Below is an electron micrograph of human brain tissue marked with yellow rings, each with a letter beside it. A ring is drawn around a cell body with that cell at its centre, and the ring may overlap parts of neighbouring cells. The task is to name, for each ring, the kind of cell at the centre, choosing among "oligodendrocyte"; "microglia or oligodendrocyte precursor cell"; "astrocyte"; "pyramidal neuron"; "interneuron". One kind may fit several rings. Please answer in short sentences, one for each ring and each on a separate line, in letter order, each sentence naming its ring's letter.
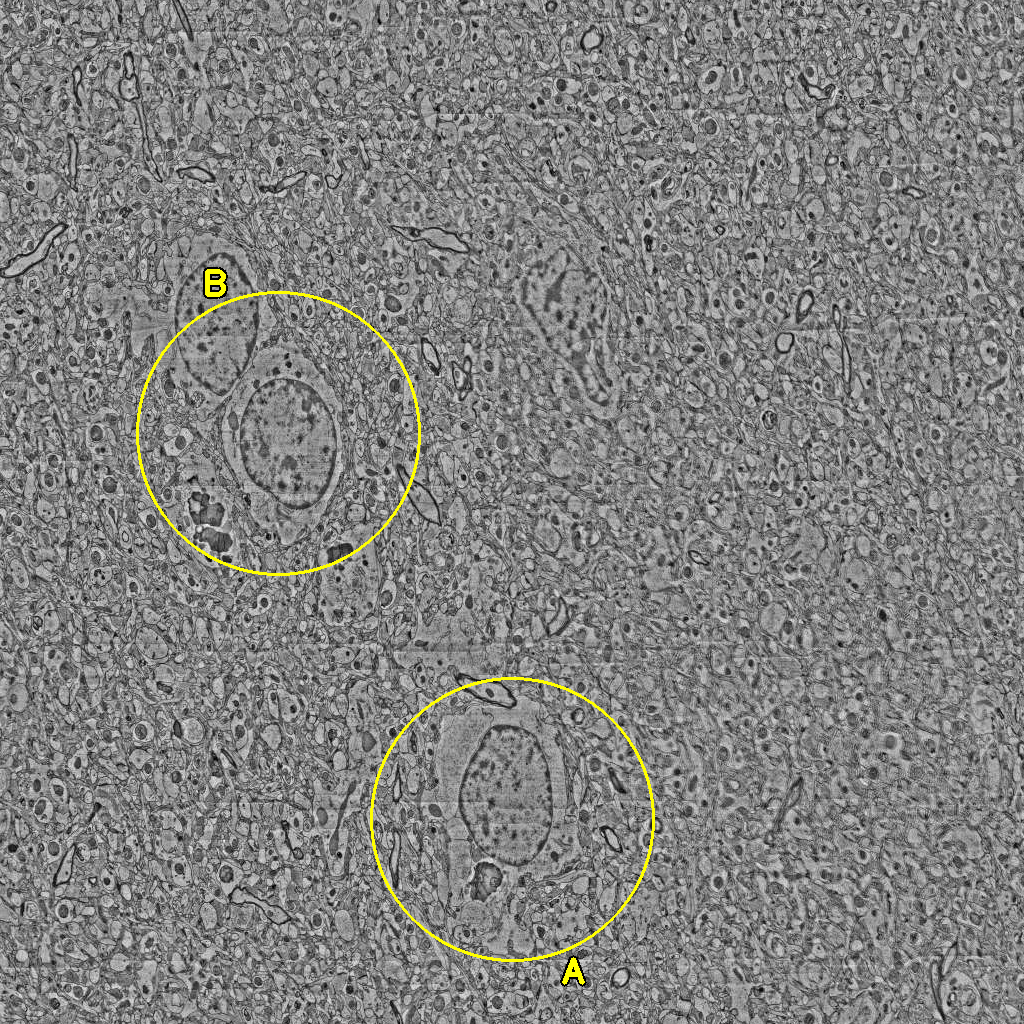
The ring with letter A is centred on an astrocyte.
The ring with letter B is centred on an astrocyte.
